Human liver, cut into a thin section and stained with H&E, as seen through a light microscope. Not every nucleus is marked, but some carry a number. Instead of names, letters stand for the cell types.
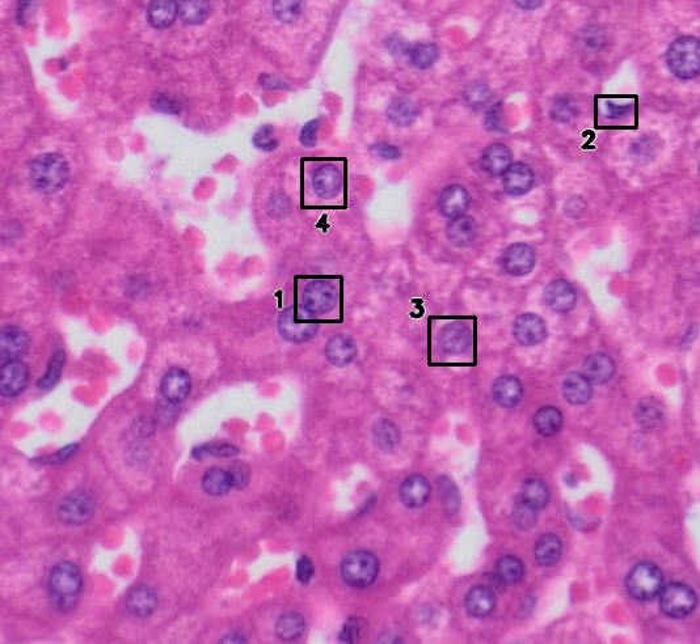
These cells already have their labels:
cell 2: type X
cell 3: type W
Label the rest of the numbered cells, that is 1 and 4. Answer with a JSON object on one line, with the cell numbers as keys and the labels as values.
{"1": "type W", "4": "type W"}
